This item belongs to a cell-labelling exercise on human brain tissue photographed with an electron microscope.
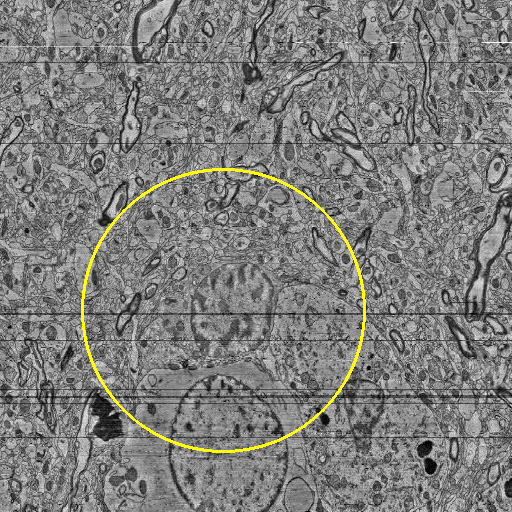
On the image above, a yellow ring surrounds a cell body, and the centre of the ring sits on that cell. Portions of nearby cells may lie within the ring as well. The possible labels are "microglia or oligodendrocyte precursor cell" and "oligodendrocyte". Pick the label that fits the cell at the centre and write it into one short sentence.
This cell should be labelled as an oligodendrocyte.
